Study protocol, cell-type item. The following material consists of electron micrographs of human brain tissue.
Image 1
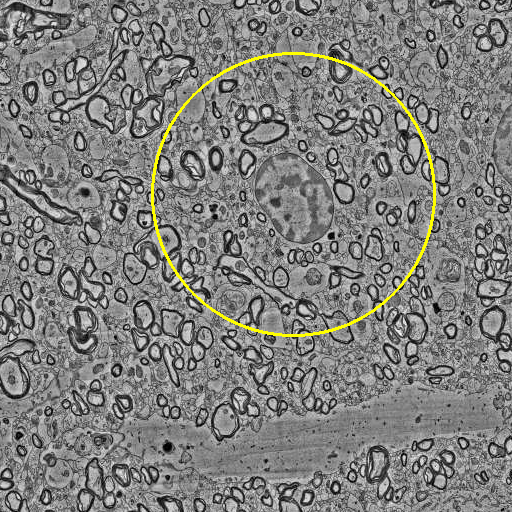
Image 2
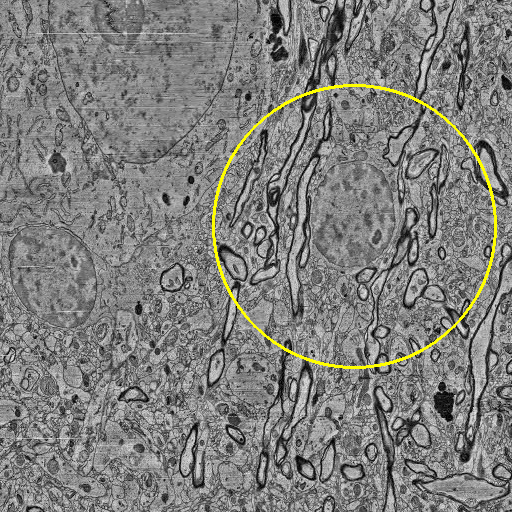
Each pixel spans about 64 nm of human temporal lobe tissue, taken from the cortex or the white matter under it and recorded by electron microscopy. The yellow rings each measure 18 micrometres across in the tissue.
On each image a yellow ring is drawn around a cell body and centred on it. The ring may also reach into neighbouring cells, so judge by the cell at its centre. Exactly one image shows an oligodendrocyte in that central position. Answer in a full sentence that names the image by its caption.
The cell at the centre of the ring in Image 2 is of that kind.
